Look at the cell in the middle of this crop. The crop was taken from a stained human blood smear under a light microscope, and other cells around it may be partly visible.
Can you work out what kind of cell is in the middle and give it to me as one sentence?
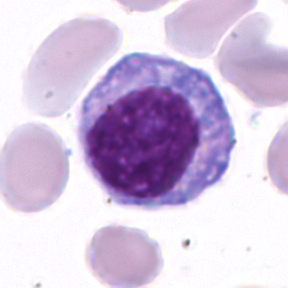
The cell found in the middle of this crop is a plasma cell.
